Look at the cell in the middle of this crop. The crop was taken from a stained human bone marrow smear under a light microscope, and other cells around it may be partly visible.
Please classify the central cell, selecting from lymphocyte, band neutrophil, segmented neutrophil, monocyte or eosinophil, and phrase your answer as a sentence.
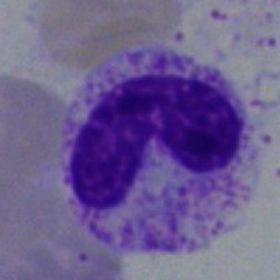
The central cell shown in this smear crop is a band neutrophil.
